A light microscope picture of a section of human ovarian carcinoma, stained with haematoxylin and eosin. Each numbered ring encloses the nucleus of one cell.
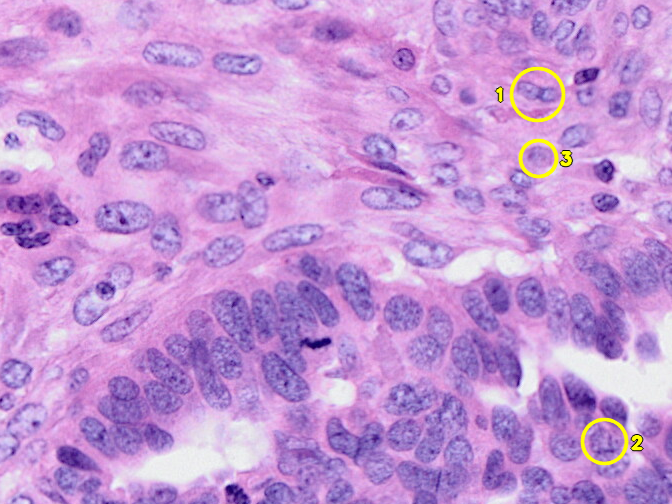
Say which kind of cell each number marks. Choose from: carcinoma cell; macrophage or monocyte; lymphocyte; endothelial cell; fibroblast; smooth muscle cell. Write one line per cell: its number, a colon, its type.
1: fibroblast
2: carcinoma cell
3: fibroblast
